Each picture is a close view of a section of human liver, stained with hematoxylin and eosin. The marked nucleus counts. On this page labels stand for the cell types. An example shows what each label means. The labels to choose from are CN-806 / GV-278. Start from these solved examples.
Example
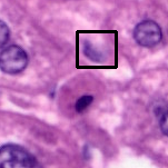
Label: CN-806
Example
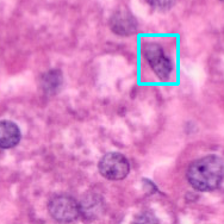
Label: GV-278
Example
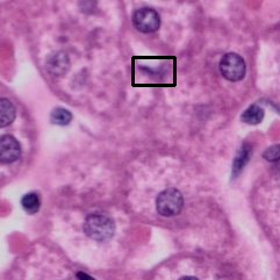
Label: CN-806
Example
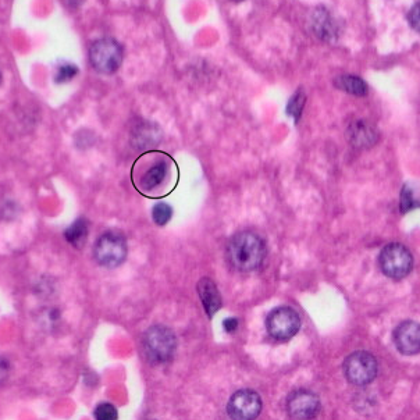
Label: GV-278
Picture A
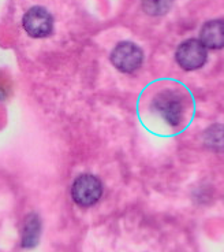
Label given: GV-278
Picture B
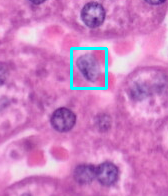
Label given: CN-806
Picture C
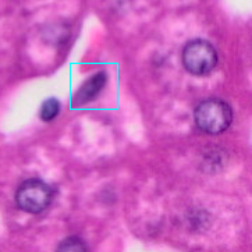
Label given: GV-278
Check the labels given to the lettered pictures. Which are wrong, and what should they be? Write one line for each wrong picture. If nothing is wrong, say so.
A is labelled GV-278; correct label: CN-806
